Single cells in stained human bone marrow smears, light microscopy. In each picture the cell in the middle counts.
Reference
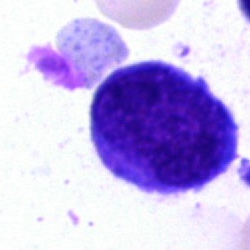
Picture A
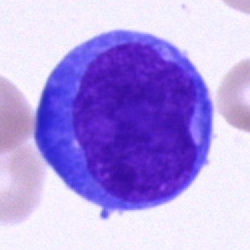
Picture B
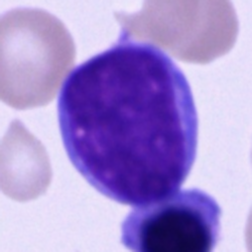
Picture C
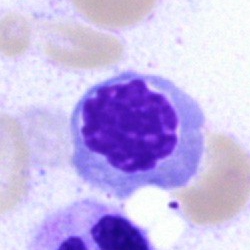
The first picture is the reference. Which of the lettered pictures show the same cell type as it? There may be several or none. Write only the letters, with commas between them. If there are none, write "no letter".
A, B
